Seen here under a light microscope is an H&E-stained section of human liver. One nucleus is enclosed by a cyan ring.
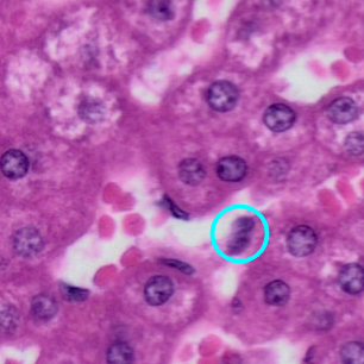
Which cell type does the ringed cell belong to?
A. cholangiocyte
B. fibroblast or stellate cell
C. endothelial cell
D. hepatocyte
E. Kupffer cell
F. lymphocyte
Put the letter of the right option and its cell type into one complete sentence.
Option E is the correct one: the ringed cell is a Kupffer cell.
